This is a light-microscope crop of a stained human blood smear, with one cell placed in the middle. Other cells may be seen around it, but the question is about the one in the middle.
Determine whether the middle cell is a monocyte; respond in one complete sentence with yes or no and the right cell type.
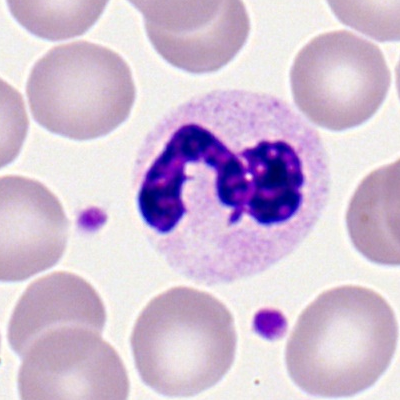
No, what lies at the heart of the crop is a segmented neutrophil, not a monocyte.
